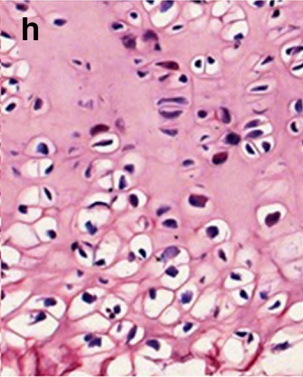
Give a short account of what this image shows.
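This is growth plate cartilage in which the proliferating chondrocytes have lost their orderly stacking. Instead of neat parallel columns, the cells lie in small irregular clusters and pairs, with flattened cells oriented at varied angles. Nuclei are dark purple and often prominent; many cells sit in clear lacunae within a pale pink matrix. Toward the bottom cells become somewhat larger and rounder, but the enlargement is uneven and less striking than in a normal plate, and the matrix septa are faint rather than crisp red bands.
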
